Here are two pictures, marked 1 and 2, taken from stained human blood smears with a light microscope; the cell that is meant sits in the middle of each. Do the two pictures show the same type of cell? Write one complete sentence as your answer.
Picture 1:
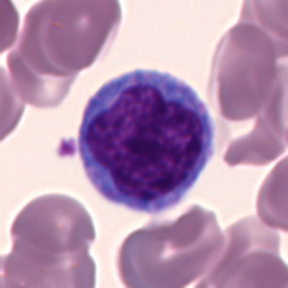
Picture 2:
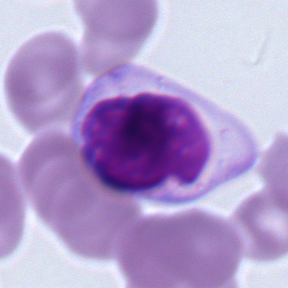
No, picture 1 shows a monocyte and picture 2 shows a large granular lymphocyte.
